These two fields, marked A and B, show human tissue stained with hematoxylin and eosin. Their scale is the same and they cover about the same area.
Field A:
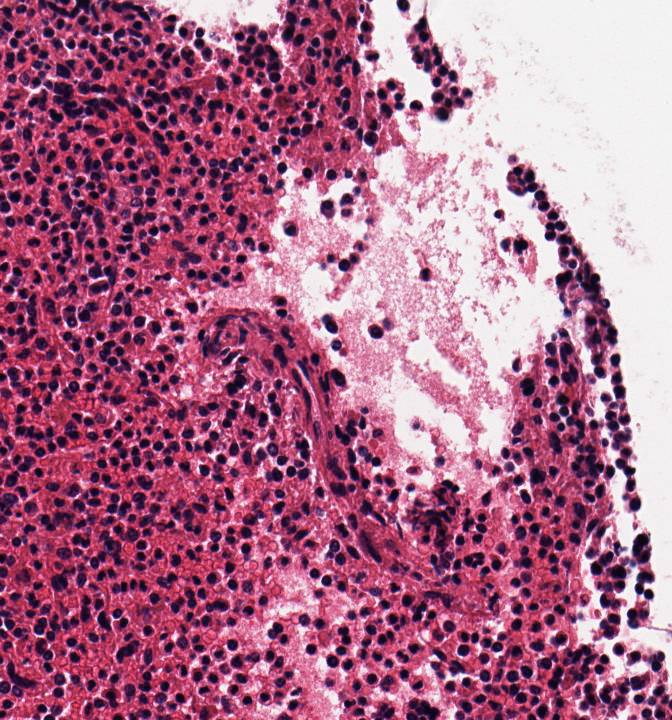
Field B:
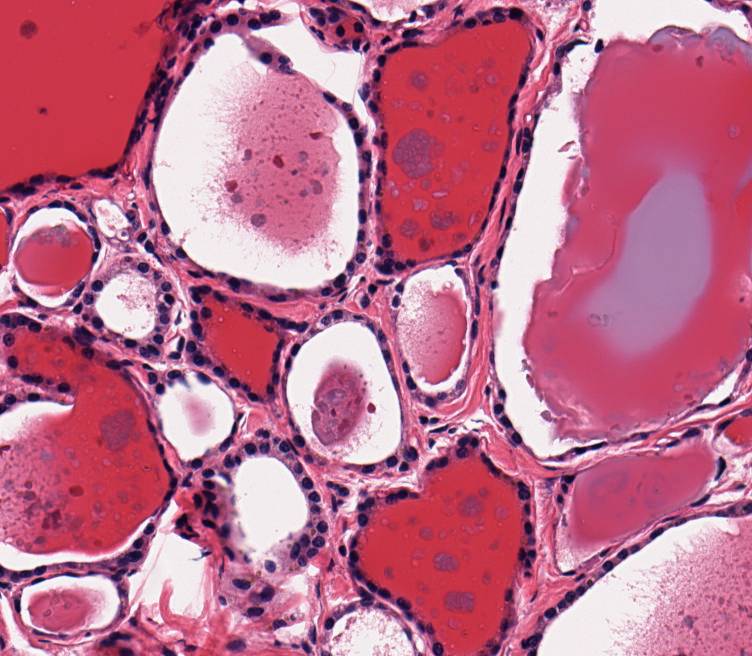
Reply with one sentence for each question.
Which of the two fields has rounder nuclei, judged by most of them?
On the whole the nuclei of field A are rounder than those of field B.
